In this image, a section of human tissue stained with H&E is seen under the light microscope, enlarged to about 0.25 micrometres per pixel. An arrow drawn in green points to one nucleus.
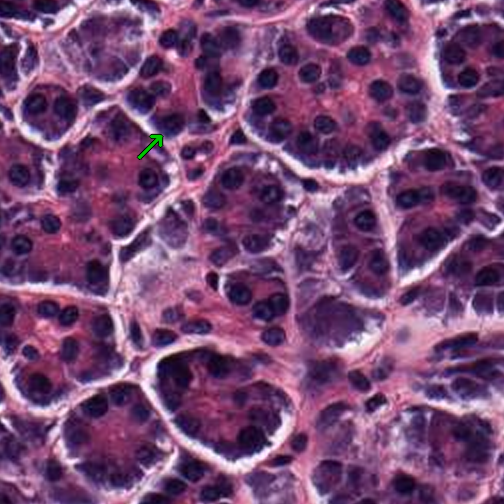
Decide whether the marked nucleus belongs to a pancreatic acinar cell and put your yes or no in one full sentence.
Yes, the marked nucleus is a nucleus of a pancreatic acinar cell.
